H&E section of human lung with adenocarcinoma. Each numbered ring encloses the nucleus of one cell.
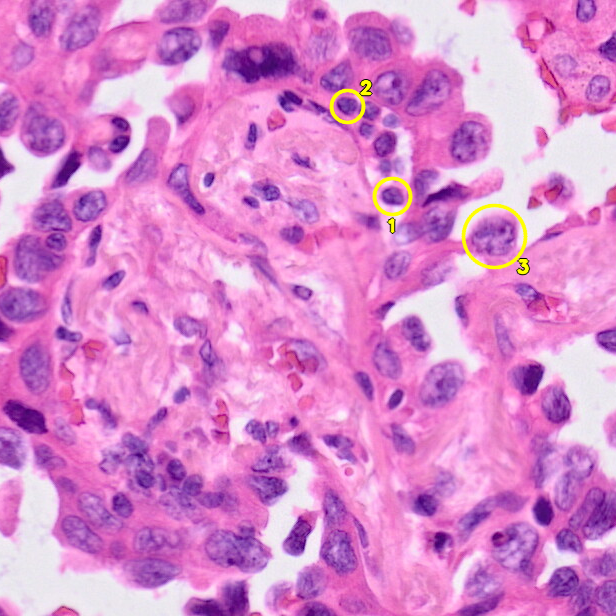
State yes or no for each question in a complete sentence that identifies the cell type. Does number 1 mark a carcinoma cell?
No, cell 1 is not a carcinoma cell. It is a lymphocyte.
